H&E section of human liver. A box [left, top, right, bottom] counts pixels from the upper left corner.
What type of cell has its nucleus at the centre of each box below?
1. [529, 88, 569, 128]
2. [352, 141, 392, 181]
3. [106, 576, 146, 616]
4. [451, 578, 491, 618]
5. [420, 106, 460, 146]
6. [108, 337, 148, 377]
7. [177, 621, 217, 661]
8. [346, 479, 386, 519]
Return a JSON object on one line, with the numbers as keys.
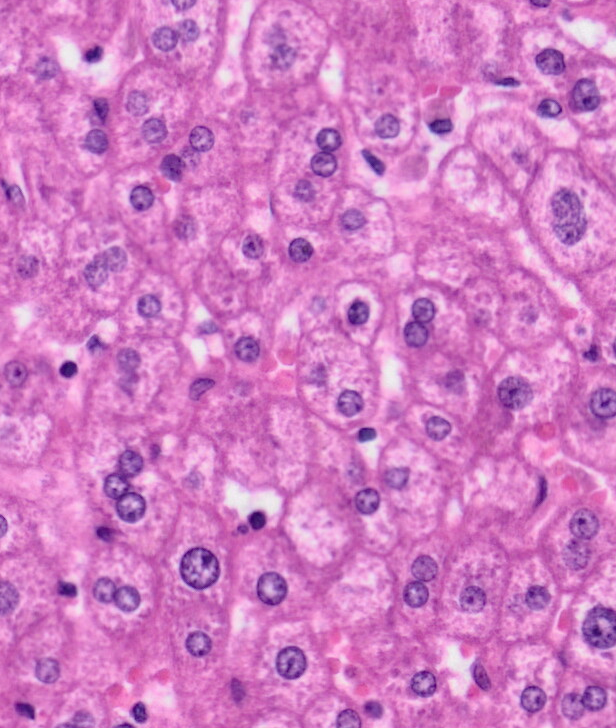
{"1": "Kupffer cell", "2": "lymphocyte", "3": "hepatocyte", "4": "hepatocyte", "5": "Kupffer cell", "6": "hepatocyte", "7": "hepatocyte", "8": "hepatocyte"}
